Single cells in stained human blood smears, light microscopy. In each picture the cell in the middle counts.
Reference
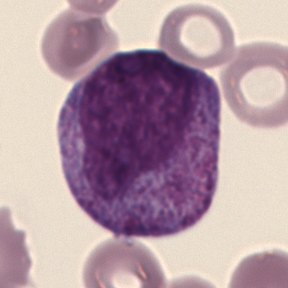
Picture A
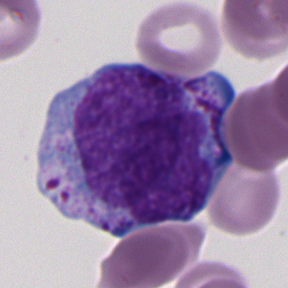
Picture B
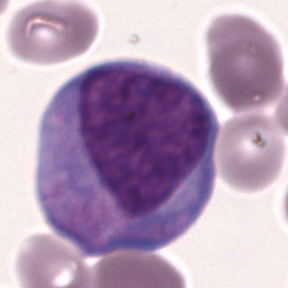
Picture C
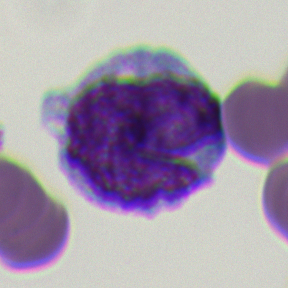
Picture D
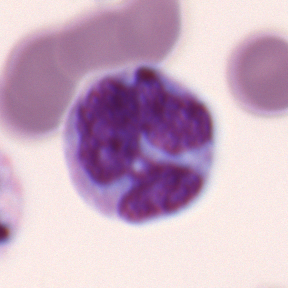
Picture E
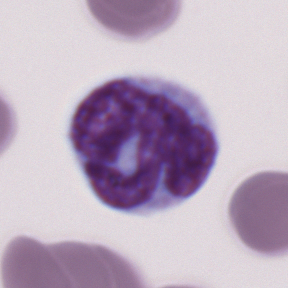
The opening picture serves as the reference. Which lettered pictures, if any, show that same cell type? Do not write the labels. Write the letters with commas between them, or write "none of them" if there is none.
A, B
